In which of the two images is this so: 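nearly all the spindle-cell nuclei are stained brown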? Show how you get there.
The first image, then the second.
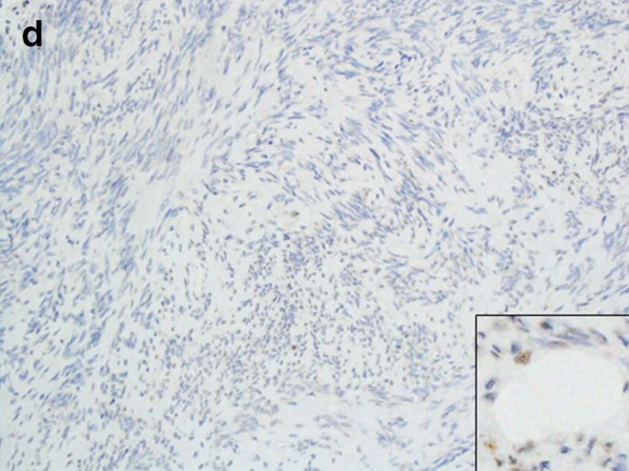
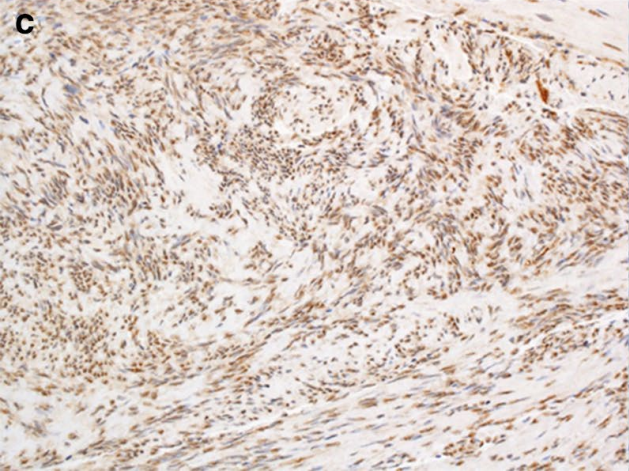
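Second image: almost every elongated nucleus in the fascicles is brown. First image: the spindle-cell nuclei are blue with the counterstain, with no brown.
Hence: the second image.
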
